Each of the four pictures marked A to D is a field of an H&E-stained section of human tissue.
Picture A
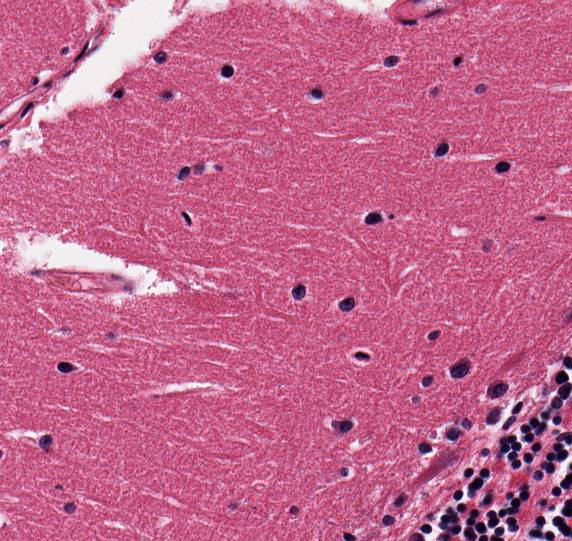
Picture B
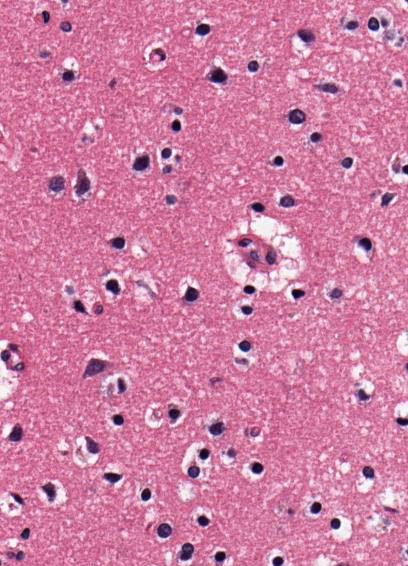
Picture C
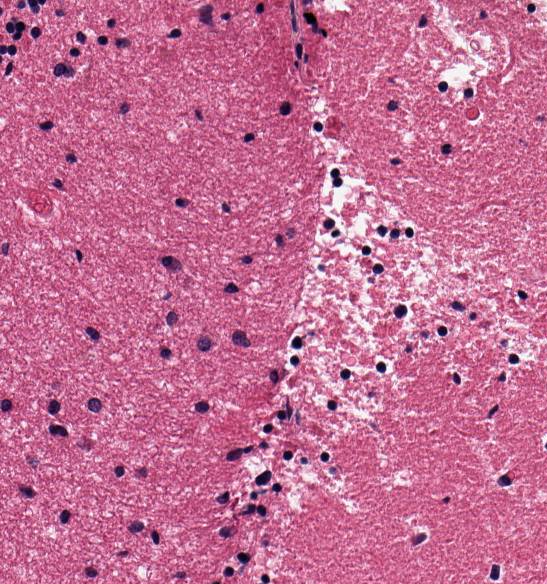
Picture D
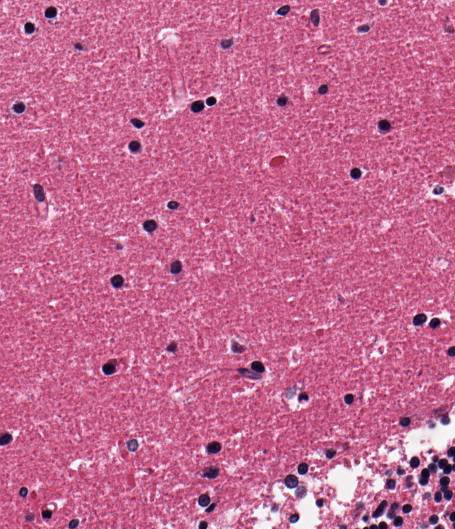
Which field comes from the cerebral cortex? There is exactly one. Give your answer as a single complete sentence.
It is picture B that comes from the cerebral cortex.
